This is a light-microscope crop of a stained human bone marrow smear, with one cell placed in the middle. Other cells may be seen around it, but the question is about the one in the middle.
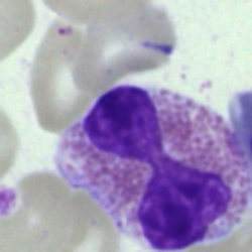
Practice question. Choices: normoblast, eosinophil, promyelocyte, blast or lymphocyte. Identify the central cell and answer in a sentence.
To answer, the cell in the center of the crop is an eosinophil.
